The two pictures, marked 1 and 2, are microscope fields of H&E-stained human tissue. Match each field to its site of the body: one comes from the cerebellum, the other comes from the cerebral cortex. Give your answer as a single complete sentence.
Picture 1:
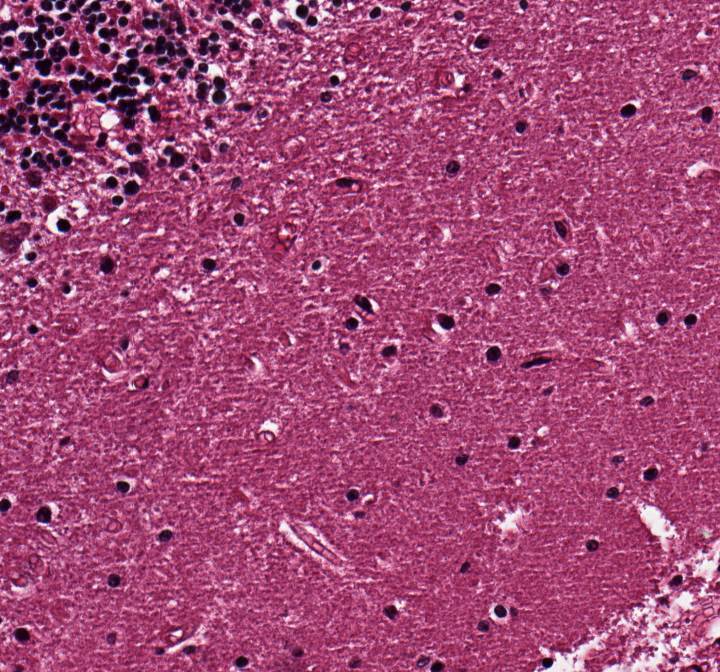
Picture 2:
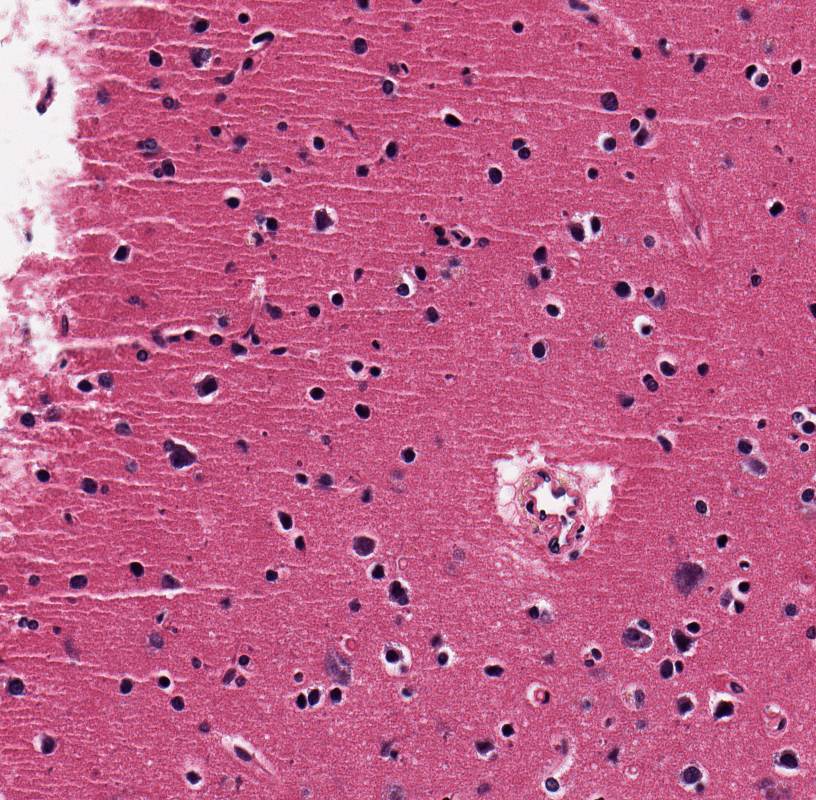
Picture 2 comes from the cerebral cortex, while picture 1 comes from the cerebellum.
